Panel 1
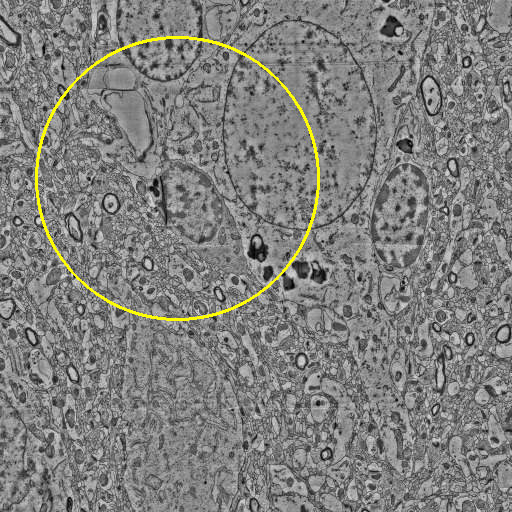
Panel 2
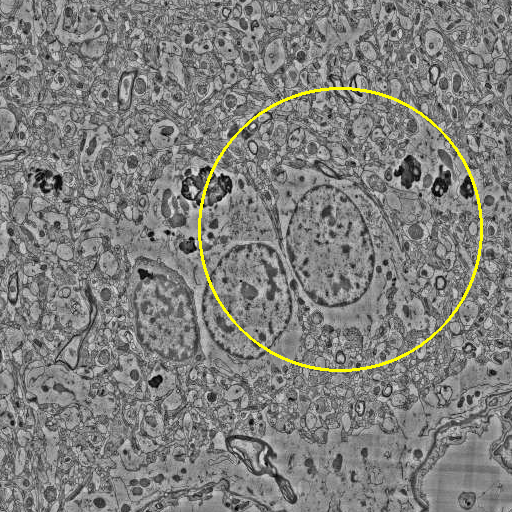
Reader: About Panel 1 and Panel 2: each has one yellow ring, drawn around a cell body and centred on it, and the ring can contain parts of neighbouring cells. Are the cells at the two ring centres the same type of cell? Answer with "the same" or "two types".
two types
